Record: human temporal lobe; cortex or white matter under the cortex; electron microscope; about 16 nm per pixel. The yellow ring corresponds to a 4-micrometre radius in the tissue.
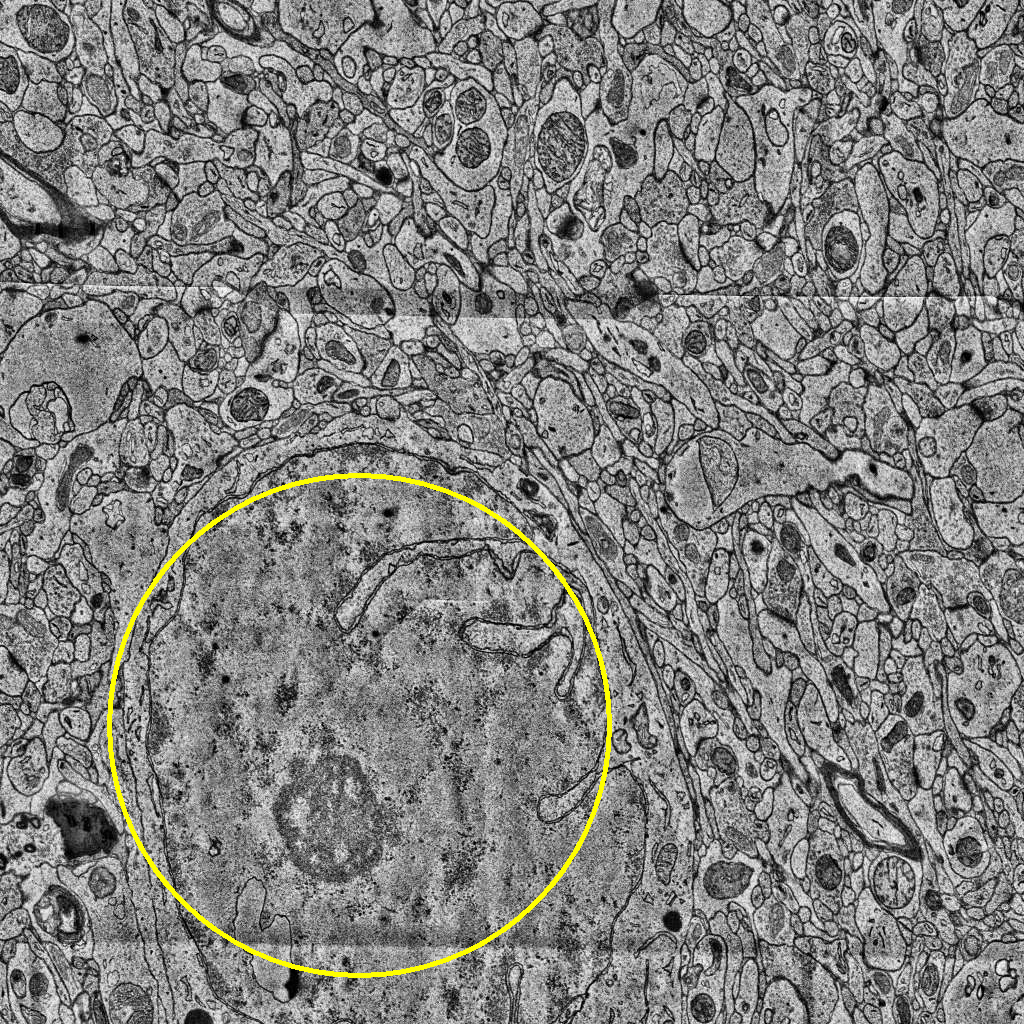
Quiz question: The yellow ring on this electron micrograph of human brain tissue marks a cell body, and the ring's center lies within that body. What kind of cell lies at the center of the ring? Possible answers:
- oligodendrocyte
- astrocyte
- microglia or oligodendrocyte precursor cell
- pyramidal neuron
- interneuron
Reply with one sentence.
The ring's center lies on an interneuron.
